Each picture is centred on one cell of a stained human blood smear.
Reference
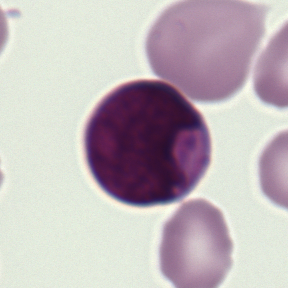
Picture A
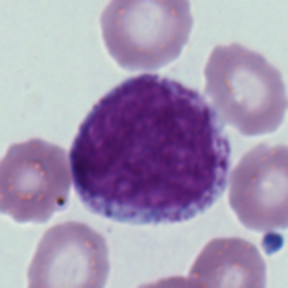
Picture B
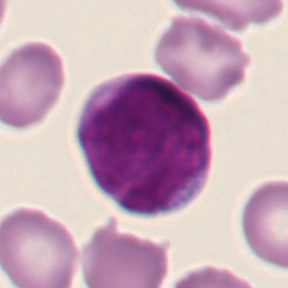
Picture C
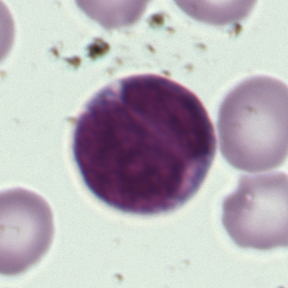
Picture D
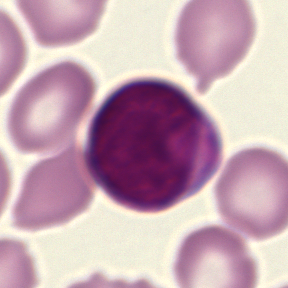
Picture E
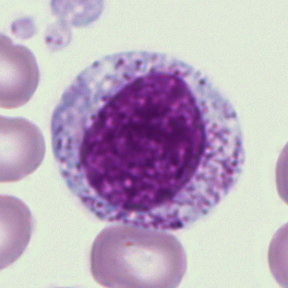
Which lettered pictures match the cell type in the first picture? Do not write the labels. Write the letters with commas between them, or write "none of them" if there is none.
B, C, D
